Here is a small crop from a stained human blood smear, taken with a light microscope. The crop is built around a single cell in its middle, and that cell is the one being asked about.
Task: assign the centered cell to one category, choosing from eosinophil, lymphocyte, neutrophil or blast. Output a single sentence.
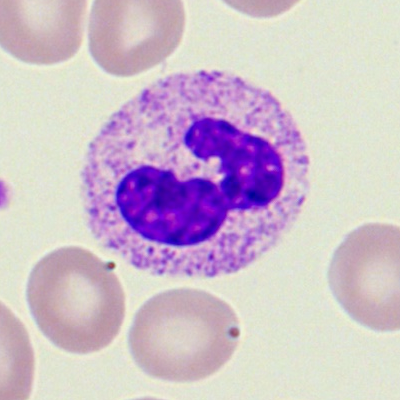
The cell at the heart of this crop is a neutrophil.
